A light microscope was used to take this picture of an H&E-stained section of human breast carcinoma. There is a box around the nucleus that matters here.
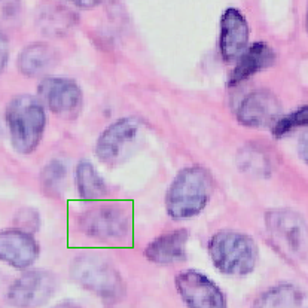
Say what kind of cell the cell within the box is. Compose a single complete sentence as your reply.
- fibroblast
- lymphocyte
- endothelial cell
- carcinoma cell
In this section of tissue, the cell within the box is a carcinoma cell.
